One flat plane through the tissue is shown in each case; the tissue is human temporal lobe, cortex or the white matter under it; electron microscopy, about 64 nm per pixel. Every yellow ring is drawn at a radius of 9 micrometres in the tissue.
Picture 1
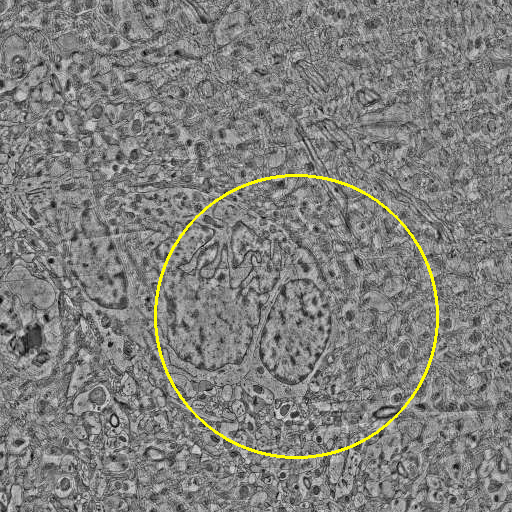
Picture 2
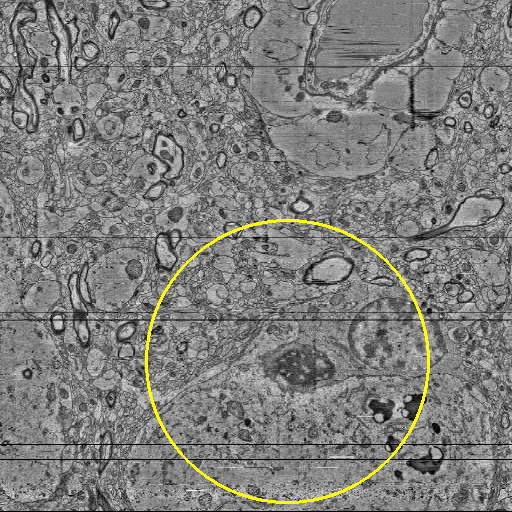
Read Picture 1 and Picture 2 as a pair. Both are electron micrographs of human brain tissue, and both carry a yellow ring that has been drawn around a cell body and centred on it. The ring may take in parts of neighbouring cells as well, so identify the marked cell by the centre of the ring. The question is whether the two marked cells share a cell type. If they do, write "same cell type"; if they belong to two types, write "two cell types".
two cell types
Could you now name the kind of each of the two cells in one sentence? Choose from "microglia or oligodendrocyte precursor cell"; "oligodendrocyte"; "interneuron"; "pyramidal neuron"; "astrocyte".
The first ring encloses a microglial cell or oligodendrocyte precursor cell; the second ring encloses an oligodendrocyte.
